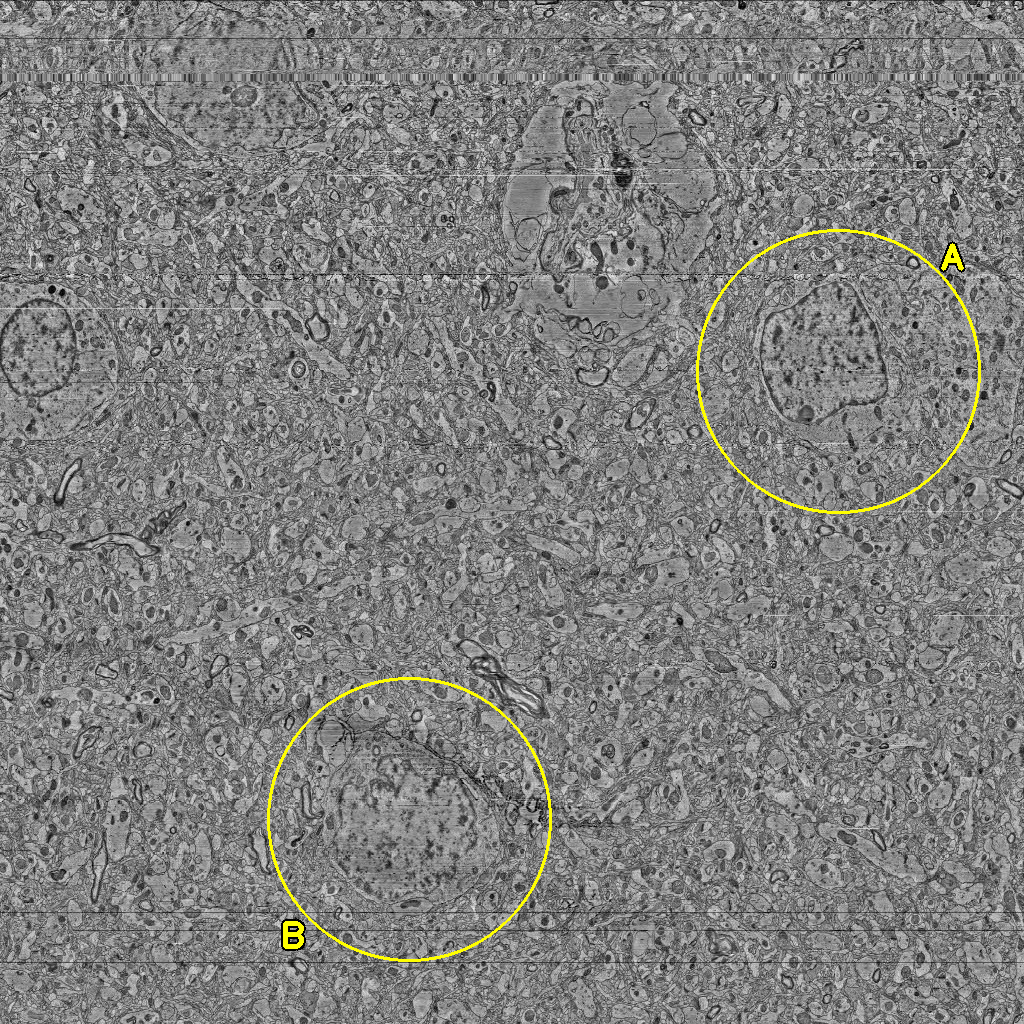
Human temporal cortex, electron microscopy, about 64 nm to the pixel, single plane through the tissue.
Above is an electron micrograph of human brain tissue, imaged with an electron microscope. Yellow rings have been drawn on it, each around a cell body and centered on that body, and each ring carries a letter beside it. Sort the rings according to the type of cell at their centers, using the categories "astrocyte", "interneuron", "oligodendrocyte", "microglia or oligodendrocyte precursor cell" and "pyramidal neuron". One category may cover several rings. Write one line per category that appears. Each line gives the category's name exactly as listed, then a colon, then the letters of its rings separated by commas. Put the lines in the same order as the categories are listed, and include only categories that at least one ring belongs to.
interneuron: B
microglia or oligodendrocyte precursor cell: A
